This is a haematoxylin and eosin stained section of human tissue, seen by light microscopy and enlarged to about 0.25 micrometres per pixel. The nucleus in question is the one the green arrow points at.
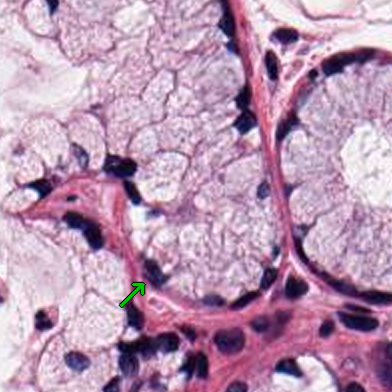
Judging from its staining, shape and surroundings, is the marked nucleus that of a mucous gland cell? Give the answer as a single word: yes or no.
yes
